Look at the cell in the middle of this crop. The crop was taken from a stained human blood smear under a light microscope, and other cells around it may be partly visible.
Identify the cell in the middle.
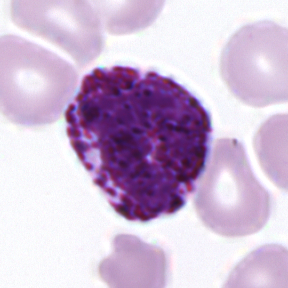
basophil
